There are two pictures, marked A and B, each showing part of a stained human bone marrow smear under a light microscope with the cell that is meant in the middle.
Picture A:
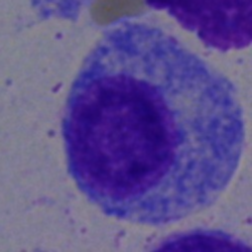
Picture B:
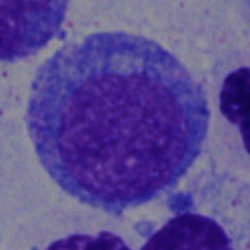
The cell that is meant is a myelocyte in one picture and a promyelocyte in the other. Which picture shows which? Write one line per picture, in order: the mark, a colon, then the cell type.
A: myelocyte
B: promyelocyte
